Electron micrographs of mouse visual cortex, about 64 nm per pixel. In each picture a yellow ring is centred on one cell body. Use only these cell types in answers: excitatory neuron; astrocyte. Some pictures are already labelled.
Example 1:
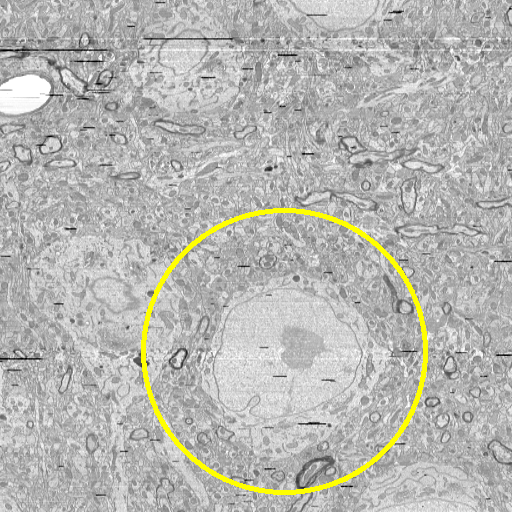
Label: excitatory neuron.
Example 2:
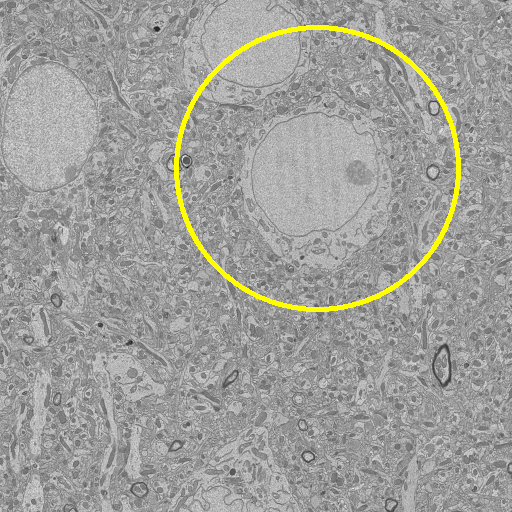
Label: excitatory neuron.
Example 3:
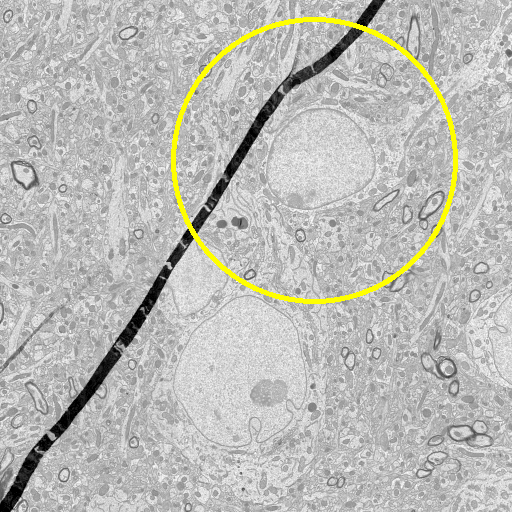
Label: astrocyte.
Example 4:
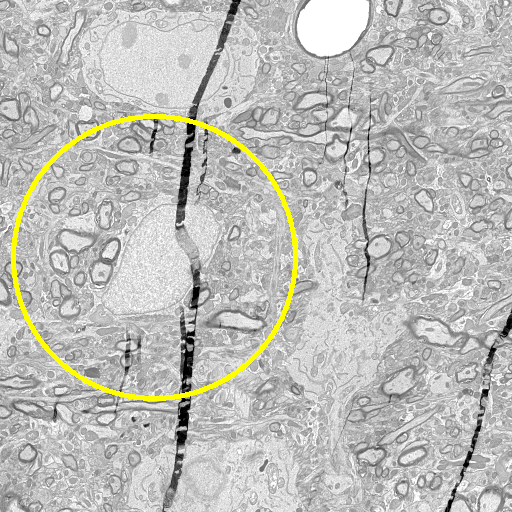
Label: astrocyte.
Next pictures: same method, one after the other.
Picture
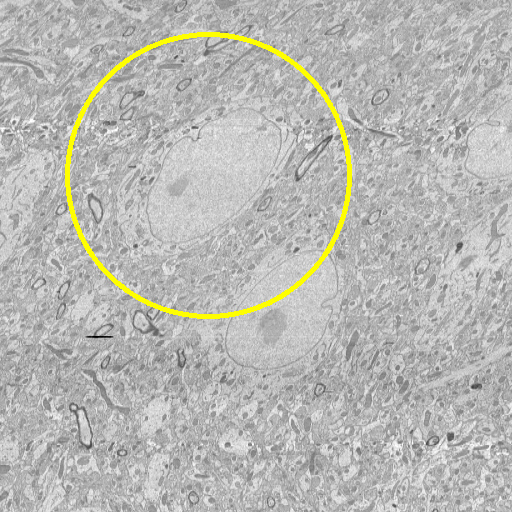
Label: excitatory neuron.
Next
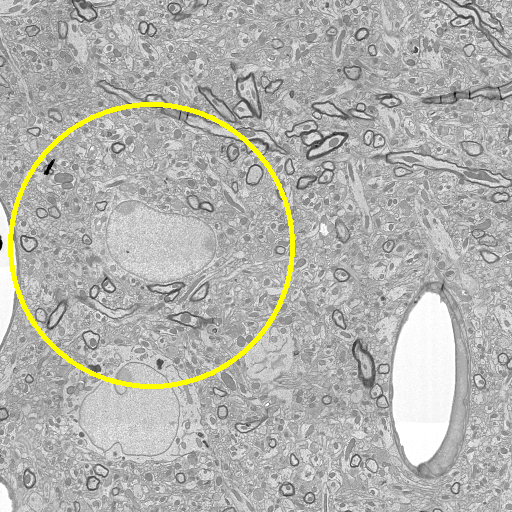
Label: astrocyte.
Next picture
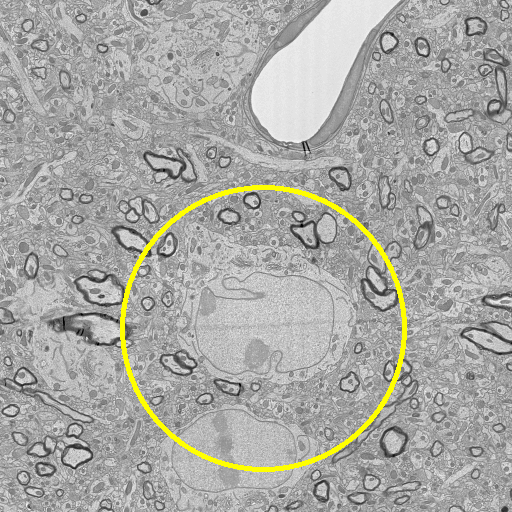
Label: excitatory neuron.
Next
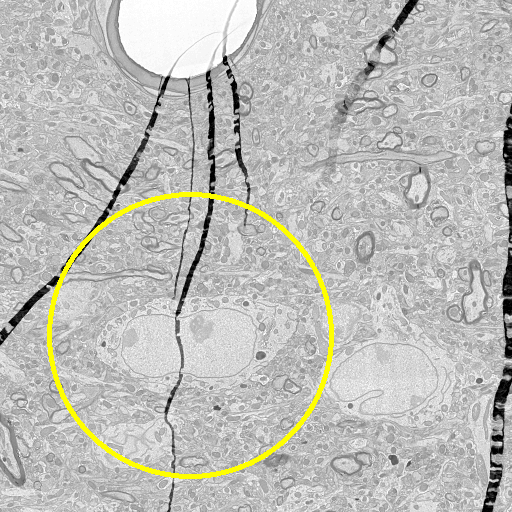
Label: excitatory neuron.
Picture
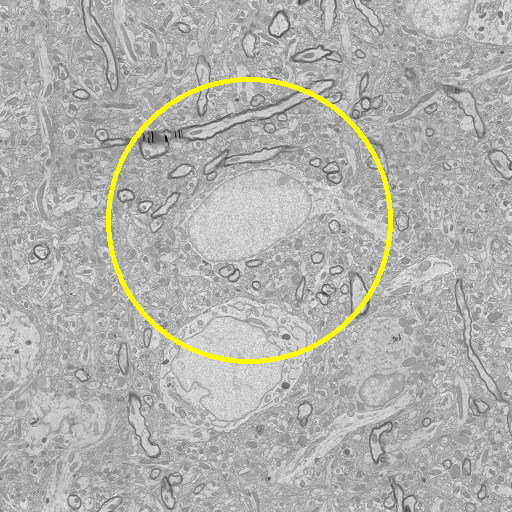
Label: astrocyte.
